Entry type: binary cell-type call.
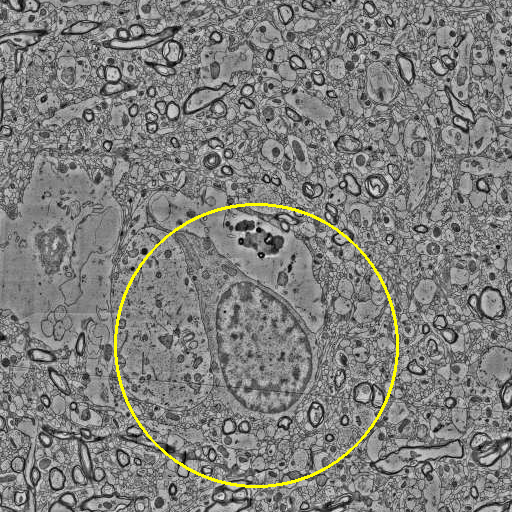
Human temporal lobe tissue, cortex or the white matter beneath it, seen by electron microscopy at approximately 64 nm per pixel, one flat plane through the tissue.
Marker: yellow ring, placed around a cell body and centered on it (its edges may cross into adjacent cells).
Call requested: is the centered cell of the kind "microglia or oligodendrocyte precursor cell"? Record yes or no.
no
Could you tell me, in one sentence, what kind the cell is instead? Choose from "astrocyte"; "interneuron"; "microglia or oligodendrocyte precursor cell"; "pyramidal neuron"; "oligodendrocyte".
Instead, the cell at the centre of the yellow ring is an oligodendrocyte.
